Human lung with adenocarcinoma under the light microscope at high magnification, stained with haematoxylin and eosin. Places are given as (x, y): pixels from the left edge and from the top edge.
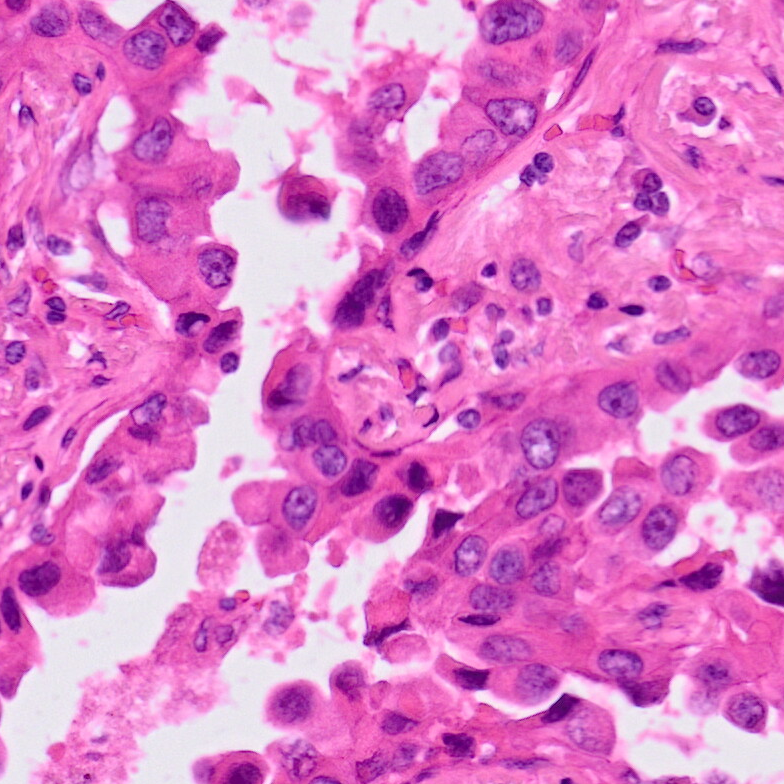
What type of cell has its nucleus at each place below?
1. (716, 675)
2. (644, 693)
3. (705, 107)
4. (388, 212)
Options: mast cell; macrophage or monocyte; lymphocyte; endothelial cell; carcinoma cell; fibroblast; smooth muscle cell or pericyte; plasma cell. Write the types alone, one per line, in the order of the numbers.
carcinoma cell
carcinoma cell
plasma cell
carcinoma cell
